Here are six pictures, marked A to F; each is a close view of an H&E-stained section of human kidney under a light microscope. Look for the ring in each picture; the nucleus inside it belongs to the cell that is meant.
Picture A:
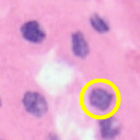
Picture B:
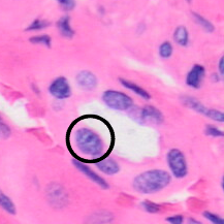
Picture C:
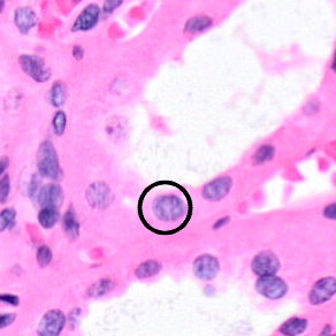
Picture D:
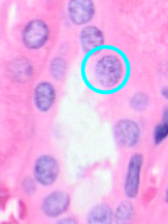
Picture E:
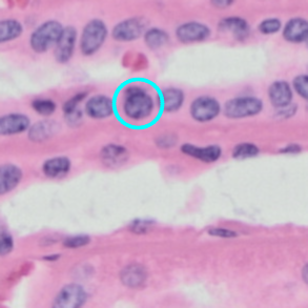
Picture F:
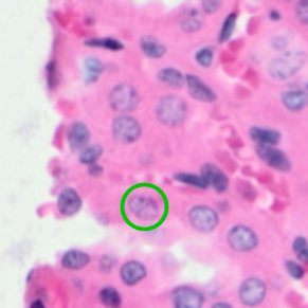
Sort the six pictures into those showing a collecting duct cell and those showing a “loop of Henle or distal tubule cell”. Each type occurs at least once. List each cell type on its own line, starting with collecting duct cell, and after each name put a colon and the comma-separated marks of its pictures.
collecting duct cell: B, D, E
loop of Henle or distal tubule cell: A, C, F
